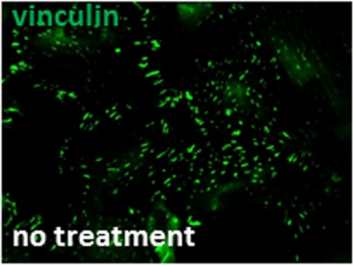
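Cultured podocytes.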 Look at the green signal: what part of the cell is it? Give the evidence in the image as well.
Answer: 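Focal adhesion complexes. Many small, elongated green dashes scattered across the cells. The dashes are discrete and sharply bounded, not diffuse.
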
